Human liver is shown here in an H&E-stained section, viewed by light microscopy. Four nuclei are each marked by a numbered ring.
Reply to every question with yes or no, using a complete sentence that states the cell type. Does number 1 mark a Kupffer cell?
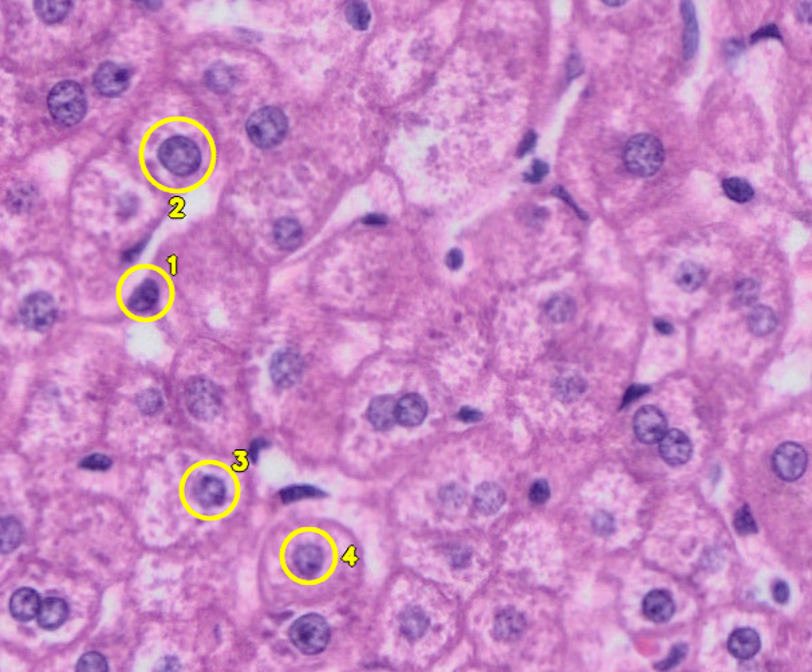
Yes, exactly, the cell numbered 1 is a Kupffer cell.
